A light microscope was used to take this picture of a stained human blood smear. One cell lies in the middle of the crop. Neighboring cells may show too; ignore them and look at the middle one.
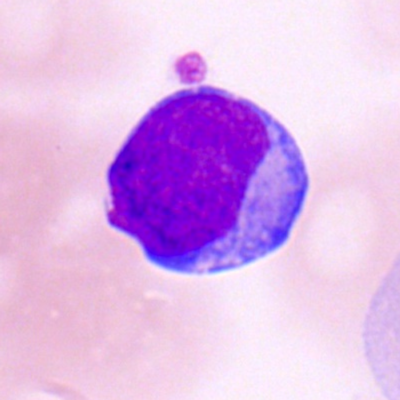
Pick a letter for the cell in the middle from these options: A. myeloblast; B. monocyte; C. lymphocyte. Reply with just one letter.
A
